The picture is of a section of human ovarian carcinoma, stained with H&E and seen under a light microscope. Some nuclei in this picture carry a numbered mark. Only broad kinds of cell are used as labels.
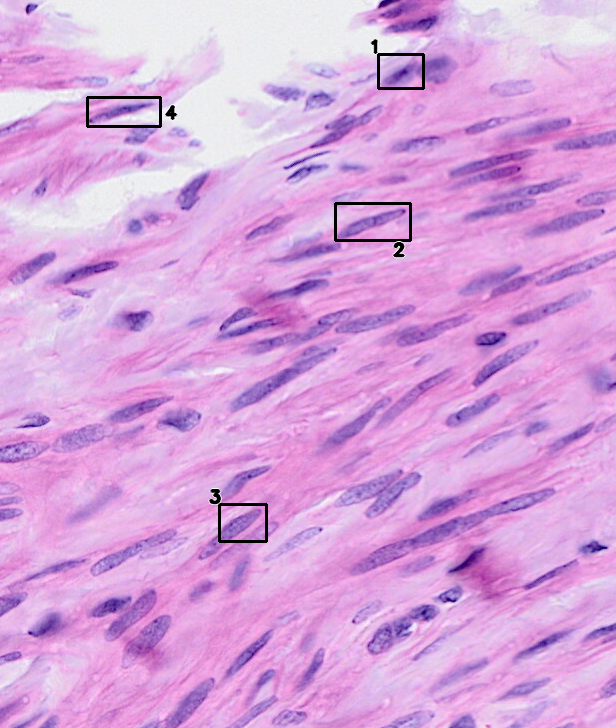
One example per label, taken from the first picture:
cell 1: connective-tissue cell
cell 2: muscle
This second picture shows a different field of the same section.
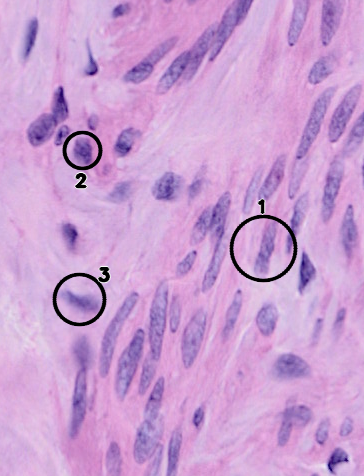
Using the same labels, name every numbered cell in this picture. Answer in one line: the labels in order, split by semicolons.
muscle; muscle; connective-tissue cell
